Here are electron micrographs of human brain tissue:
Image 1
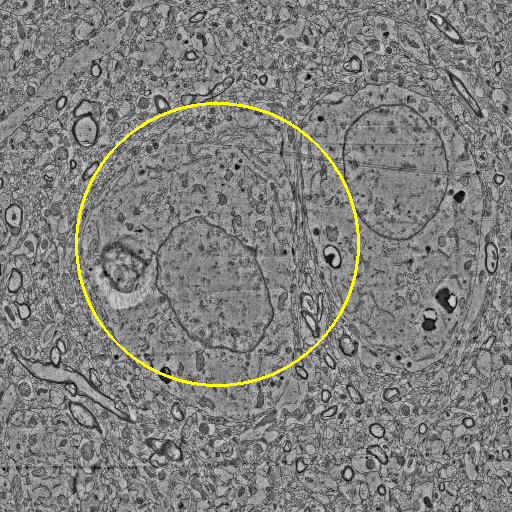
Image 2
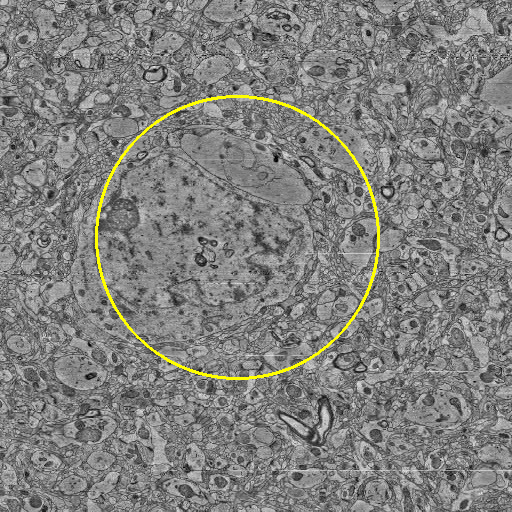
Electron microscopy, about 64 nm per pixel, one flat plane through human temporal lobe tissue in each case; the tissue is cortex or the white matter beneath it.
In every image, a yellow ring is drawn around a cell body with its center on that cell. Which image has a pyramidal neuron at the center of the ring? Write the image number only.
1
